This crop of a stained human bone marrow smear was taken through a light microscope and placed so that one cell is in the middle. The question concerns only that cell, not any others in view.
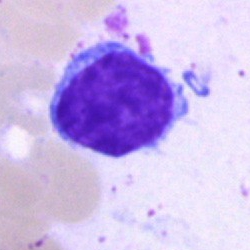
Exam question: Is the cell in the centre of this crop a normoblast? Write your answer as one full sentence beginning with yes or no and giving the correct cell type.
No, a lymphocyte, not a normoblast, is what sits in the centre of the crop.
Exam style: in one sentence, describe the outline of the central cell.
Projections or ragged segments give this cell an irregular rather than smooth border.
